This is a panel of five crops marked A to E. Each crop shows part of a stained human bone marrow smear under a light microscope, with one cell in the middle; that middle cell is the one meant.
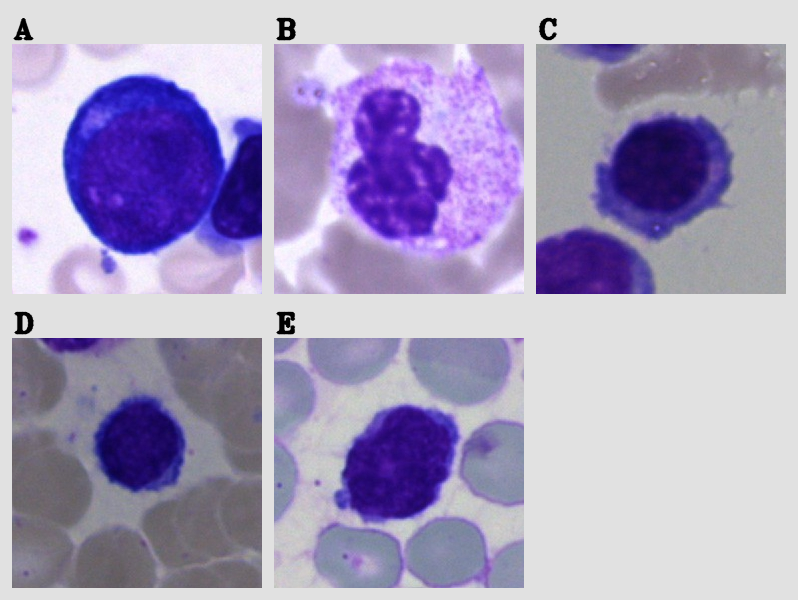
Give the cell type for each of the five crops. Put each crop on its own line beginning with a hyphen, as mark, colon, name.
- A: proerythroblast
- B: segmented neutrophil
- C: plasma cell
- D: lymphocyte
- E: lymphocyte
